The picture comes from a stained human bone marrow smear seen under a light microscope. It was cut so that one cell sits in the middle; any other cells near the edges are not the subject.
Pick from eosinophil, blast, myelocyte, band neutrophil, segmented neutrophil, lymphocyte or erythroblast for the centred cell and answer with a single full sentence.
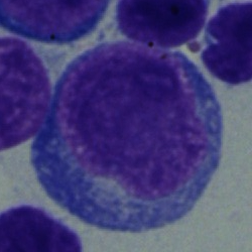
At the crop's centre, the cell is a blast.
